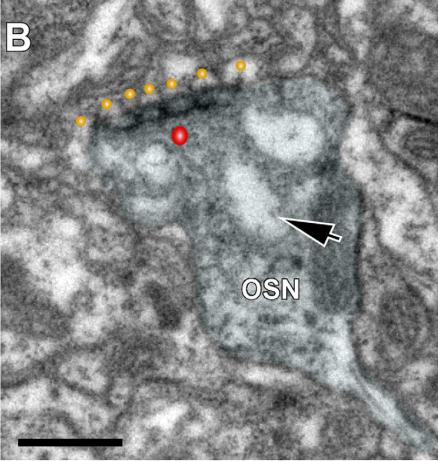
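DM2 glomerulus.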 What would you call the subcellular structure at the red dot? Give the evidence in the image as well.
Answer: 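A long, dark, electron-dense band lines the upper membrane of the blue profile. The red dot lies just beneath this band. The answer: elongated presynaptic density.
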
